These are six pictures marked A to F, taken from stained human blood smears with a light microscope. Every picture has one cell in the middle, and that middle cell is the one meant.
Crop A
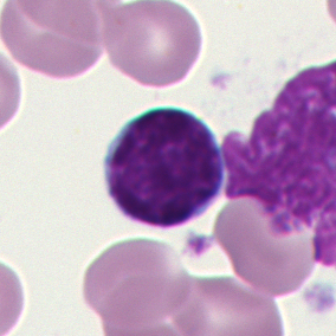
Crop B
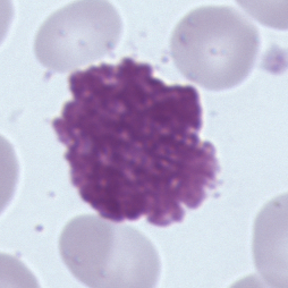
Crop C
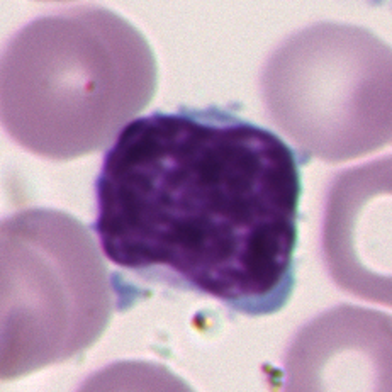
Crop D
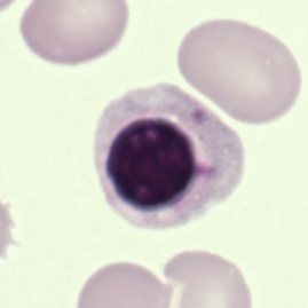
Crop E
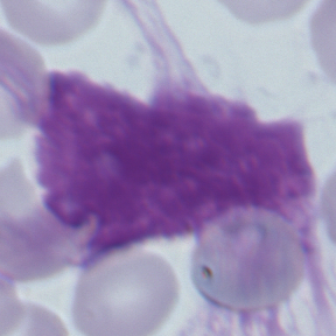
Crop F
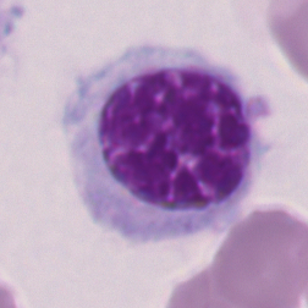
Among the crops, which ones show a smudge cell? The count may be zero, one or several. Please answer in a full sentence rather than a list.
Depicted at the centre of crops B and E are smudge cells.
